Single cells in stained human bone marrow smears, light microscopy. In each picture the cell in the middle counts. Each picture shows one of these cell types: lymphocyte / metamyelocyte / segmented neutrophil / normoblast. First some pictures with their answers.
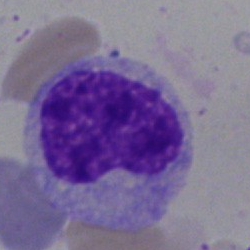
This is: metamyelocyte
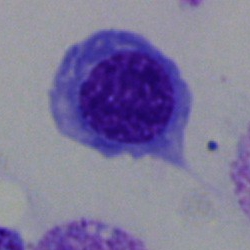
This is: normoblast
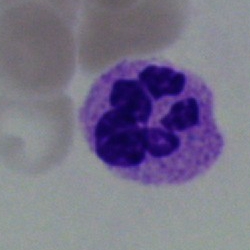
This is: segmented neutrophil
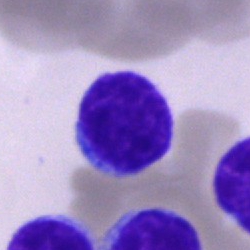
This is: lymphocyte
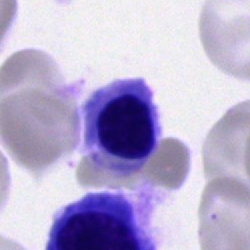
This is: normoblast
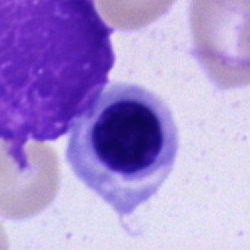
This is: normoblast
